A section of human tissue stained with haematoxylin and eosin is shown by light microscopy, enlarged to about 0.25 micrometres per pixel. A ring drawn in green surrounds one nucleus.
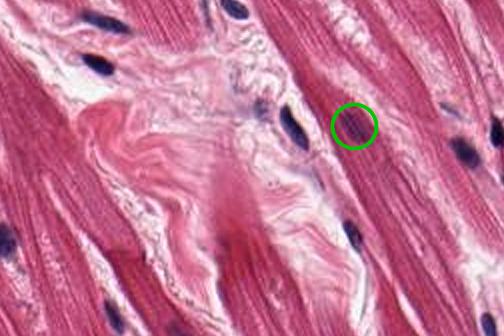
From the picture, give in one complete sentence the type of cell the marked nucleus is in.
Indicated by the mark is a nucleus that belongs to a cardiomyocyte.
